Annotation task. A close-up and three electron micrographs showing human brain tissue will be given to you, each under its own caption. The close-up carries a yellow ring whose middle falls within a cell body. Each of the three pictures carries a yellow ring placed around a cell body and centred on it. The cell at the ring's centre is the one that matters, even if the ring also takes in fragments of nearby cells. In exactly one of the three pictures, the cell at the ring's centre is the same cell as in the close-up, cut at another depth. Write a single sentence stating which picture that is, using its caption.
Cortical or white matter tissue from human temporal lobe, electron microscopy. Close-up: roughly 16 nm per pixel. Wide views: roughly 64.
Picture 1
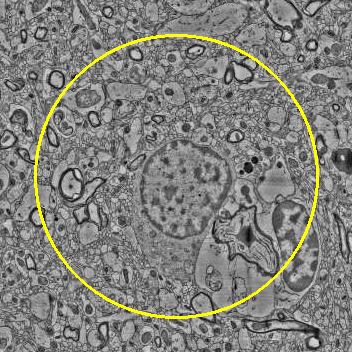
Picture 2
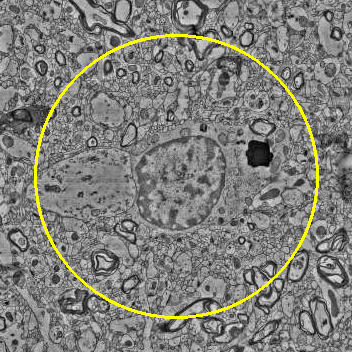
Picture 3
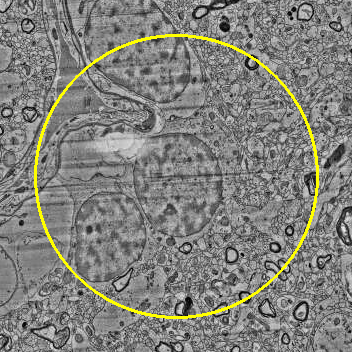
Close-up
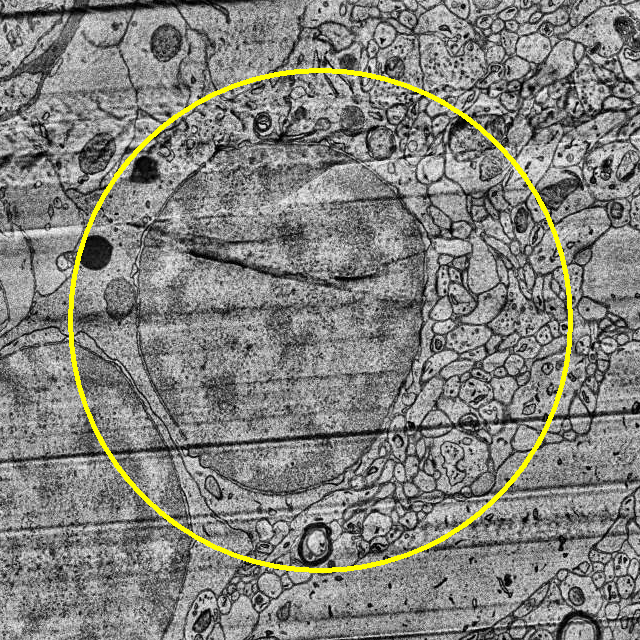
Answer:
The close-up represents the cell enclosed by the ring in Picture 3.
